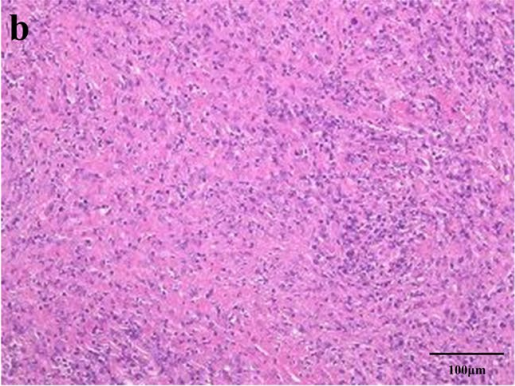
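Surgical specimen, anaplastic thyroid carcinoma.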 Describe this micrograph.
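Inflammatory granulation tissue fills the field, made of many small spindle cells lying in a loose pink stroma. Scattered among them are inflammatory cells with small round nuclei, more densely gathered in some areas.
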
